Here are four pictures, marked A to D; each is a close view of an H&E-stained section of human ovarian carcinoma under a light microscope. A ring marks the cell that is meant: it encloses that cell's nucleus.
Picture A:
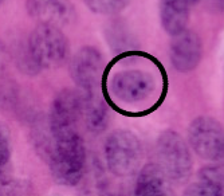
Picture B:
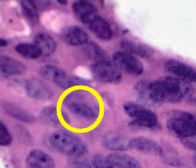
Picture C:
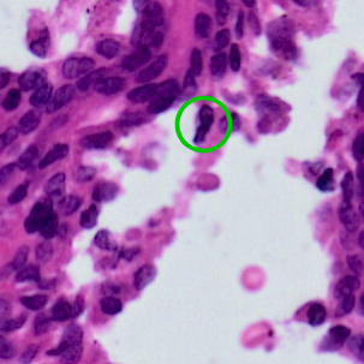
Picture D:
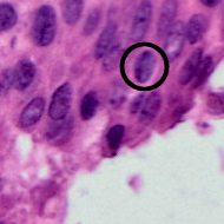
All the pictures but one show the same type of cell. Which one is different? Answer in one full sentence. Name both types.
Picture B differs, because its cell is a carcinoma cell and the rest are “macrophages or monocytes”.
